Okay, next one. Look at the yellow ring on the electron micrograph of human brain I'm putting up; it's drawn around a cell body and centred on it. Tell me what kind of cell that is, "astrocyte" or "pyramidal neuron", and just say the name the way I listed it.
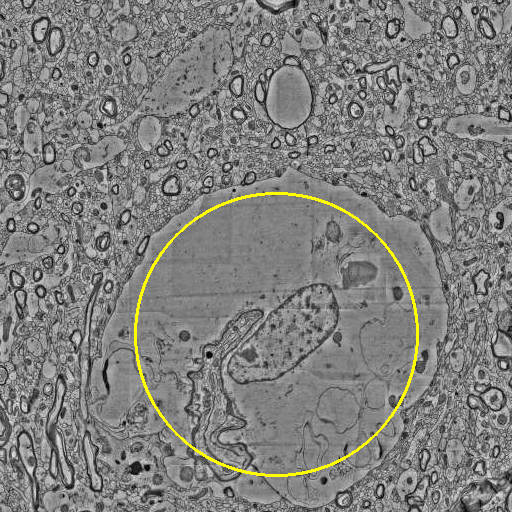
astrocyte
